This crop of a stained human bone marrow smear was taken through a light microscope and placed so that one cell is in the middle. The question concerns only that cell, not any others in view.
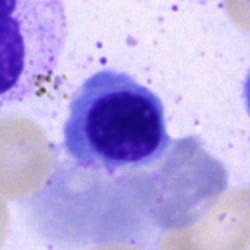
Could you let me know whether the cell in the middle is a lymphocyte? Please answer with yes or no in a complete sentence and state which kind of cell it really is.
No, rather than being a lymphocyte, the central cell is an erythroblast.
